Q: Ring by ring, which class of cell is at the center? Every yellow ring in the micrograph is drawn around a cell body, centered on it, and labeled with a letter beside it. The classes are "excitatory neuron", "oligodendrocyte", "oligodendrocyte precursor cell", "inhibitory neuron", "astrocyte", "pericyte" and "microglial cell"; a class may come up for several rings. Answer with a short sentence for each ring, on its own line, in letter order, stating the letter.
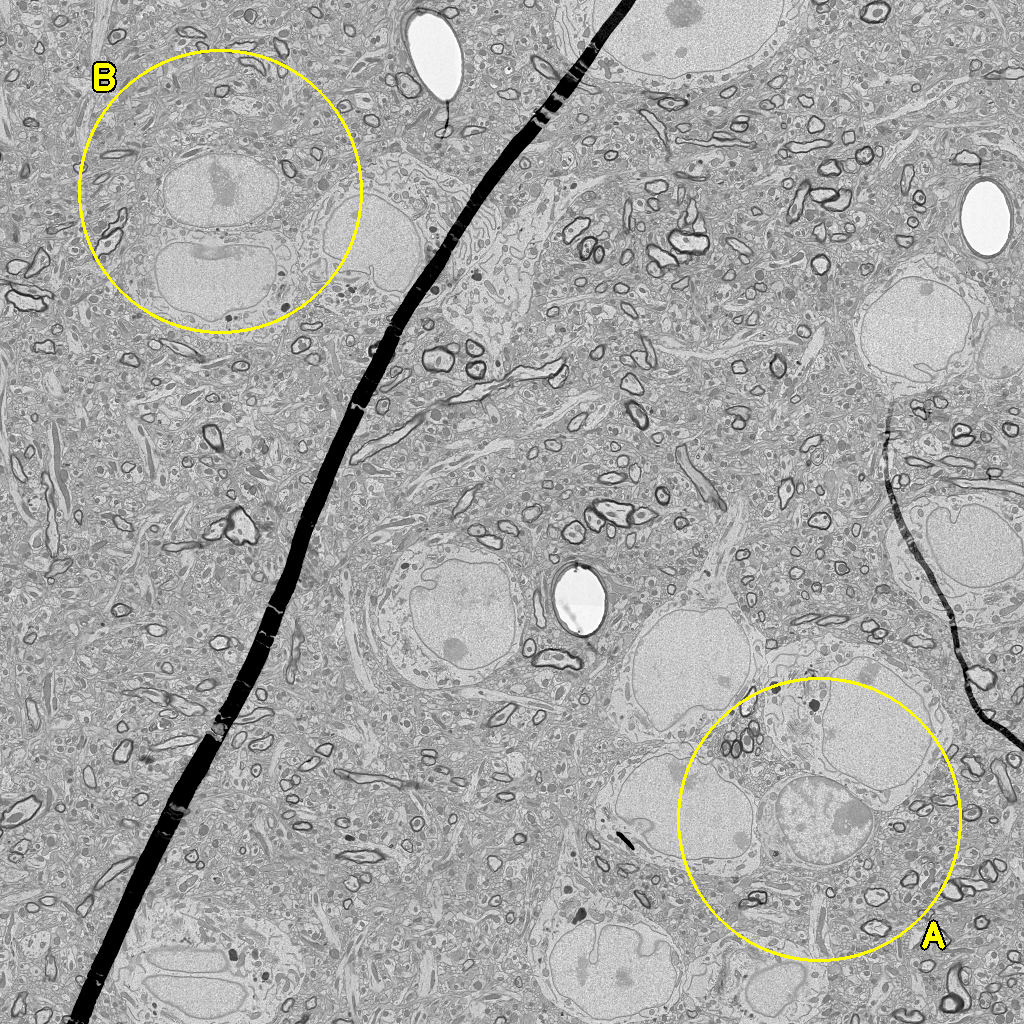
Ring A holds an oligodendrocyte at its center.
Ring B holds an astrocyte at its center.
